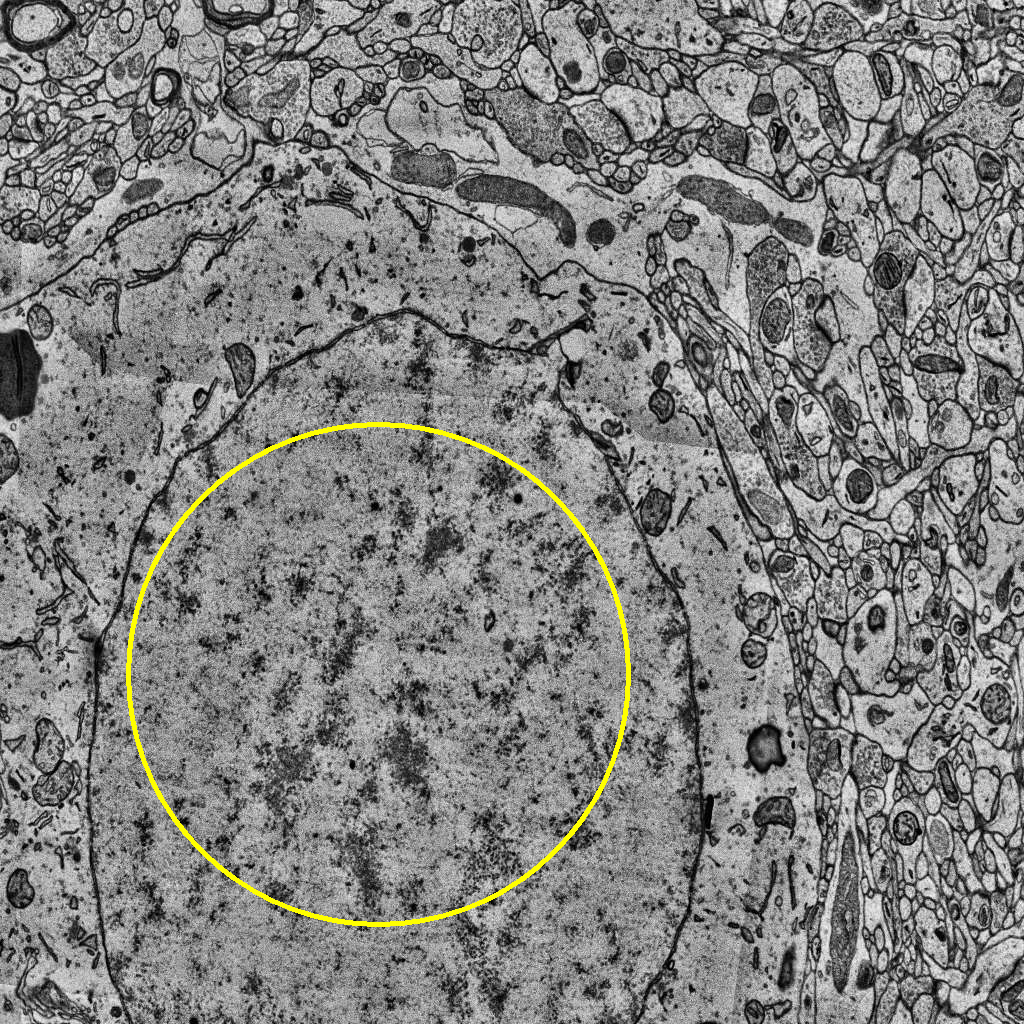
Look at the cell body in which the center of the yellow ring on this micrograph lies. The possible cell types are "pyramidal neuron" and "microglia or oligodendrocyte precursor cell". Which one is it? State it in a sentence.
The cell at the middle of the ring is a pyramidal neuron.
